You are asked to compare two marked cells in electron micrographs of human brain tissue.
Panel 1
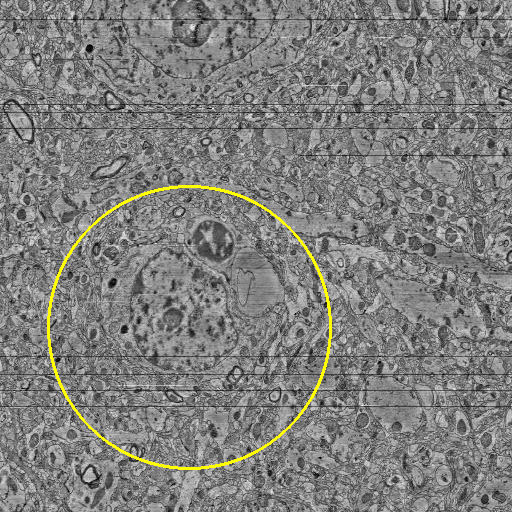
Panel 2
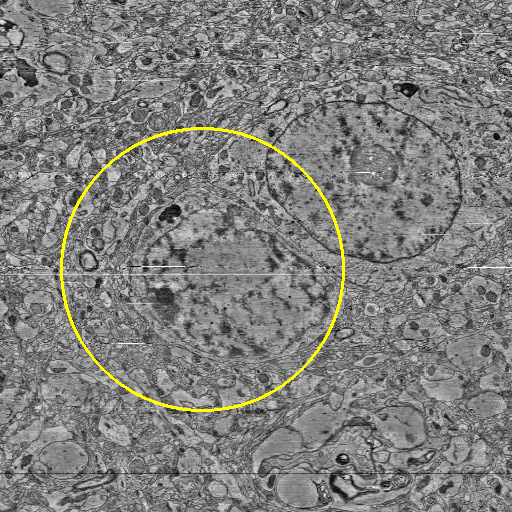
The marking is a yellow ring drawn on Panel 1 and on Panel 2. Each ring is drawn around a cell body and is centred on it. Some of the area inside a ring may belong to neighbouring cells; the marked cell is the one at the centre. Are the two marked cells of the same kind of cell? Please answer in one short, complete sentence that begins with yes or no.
Yes, the two marked cells are of the same kind.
